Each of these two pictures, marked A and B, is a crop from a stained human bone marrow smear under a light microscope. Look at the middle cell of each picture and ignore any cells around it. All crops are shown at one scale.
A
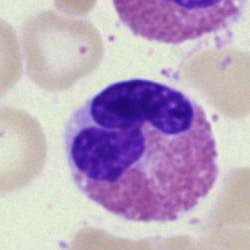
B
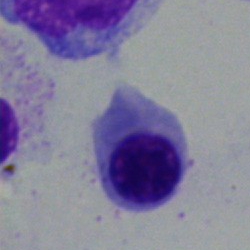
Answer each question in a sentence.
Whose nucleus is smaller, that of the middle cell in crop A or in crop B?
Crop B shows the smaller nucleus, since that in crop A covers about 2 times as much area.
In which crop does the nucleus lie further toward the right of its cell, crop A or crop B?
The nucleus in crop B lies further toward the right of its cell.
